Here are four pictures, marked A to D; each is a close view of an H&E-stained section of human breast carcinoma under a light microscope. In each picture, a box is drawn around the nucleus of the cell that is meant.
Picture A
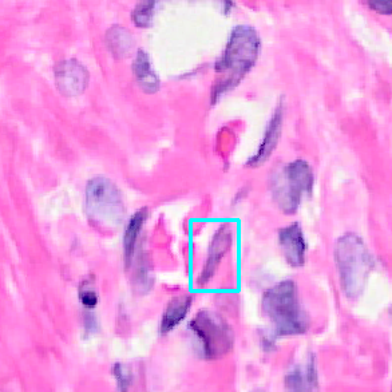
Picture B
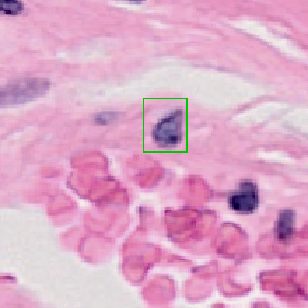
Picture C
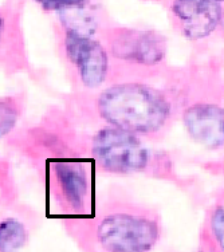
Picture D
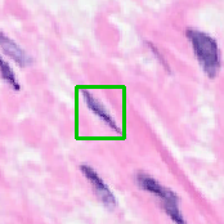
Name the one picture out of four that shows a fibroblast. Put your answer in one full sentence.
Picture D shows the fibroblast.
